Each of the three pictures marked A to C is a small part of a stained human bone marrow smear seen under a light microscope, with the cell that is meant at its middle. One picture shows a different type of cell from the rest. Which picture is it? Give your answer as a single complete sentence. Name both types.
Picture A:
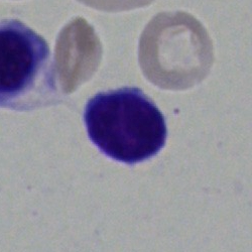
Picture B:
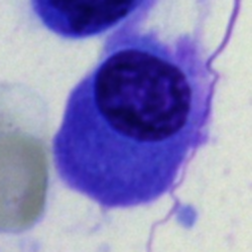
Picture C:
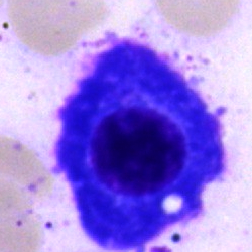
Unlike the rest, which show plasma cells, picture A shows a lymphocyte.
